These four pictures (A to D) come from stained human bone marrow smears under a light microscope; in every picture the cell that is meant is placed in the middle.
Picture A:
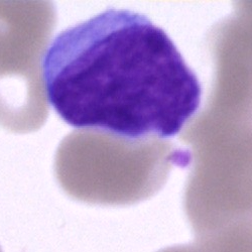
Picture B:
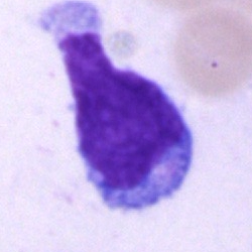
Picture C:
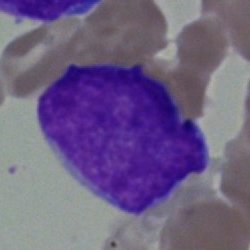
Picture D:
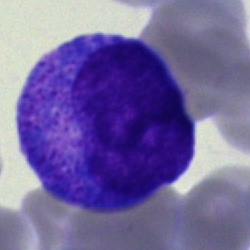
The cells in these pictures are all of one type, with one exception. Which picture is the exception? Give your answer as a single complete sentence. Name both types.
Picture D differs, because its cell is a promyelocyte and the rest are blasts.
